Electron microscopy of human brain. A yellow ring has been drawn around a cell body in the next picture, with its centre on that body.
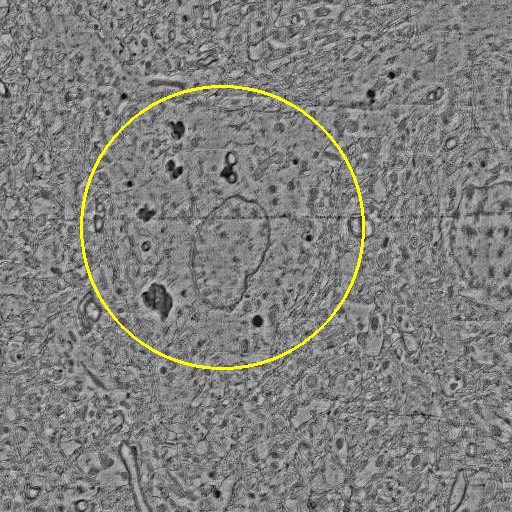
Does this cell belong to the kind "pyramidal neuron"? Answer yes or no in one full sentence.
Yes, the ringed cell in this picture, sitting at the ring's centre, is of that kind.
